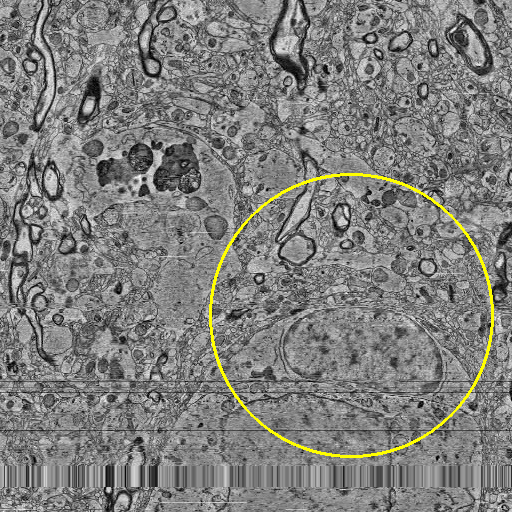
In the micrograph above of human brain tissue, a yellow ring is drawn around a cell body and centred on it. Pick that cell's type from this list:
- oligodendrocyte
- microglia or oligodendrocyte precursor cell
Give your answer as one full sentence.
Going by the list, a microglial cell or oligodendrocyte precursor cell is the cell on which the yellow ring is centred.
